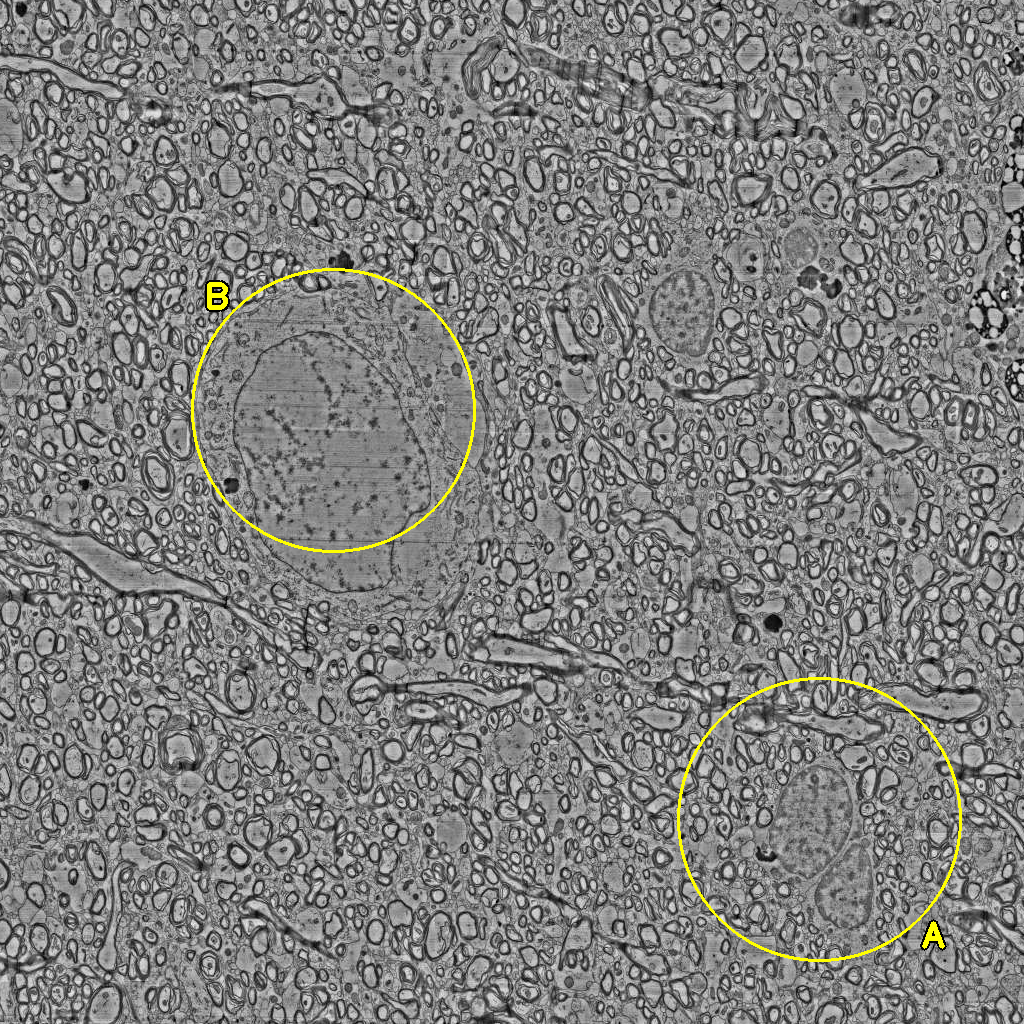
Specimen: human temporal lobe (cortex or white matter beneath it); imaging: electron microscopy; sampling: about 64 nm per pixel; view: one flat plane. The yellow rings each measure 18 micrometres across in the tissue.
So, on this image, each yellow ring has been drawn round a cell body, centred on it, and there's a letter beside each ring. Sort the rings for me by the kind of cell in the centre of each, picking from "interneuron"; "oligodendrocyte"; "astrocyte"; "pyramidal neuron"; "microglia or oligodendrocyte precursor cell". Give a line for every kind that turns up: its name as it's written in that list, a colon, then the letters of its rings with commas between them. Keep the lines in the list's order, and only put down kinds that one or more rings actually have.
oligodendrocyte: A
pyramidal neuron: B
